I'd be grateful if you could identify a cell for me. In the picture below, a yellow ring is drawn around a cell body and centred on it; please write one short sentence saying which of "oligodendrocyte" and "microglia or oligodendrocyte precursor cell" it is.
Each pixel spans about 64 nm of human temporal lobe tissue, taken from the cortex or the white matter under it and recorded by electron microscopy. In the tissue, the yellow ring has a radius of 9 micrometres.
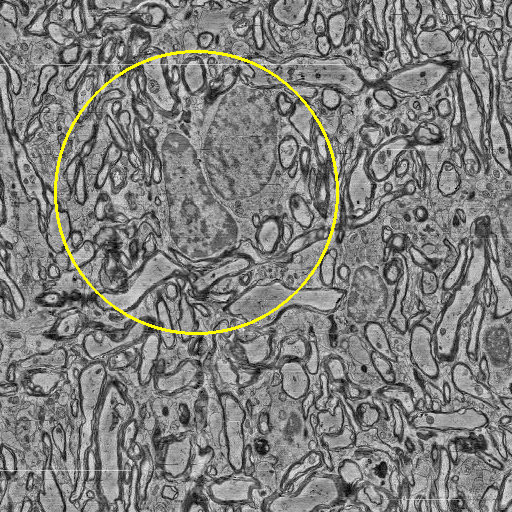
The cell under the ring's centre is a microglial cell or oligodendrocyte precursor cell.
